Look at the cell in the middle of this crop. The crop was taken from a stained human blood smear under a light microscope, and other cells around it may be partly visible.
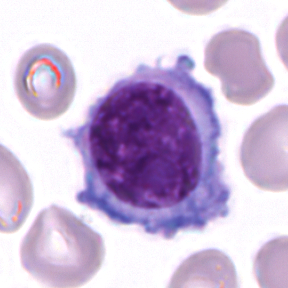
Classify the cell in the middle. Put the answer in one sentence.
Standing at the centre of this crop is a plasma cell.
